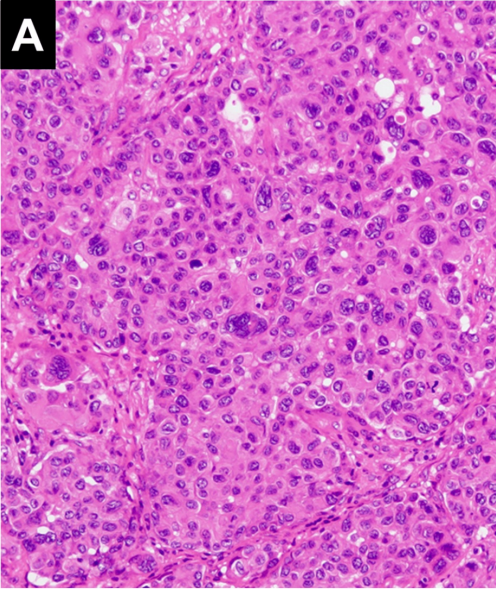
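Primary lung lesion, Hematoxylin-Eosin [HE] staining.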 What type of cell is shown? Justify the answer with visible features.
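Tumor cells with enlarged nuclei. Sheets of crowded cells with large, vesicular nuclei and prominent nucleoli. Marked variation in nuclear size, with some very large, multilobed nuclei.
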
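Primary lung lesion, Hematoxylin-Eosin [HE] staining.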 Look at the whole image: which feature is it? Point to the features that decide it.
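Cells packed in solid, cohesive sheets and nests. Thin pink fibrous strands run between cell groups. So: solid cell nests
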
